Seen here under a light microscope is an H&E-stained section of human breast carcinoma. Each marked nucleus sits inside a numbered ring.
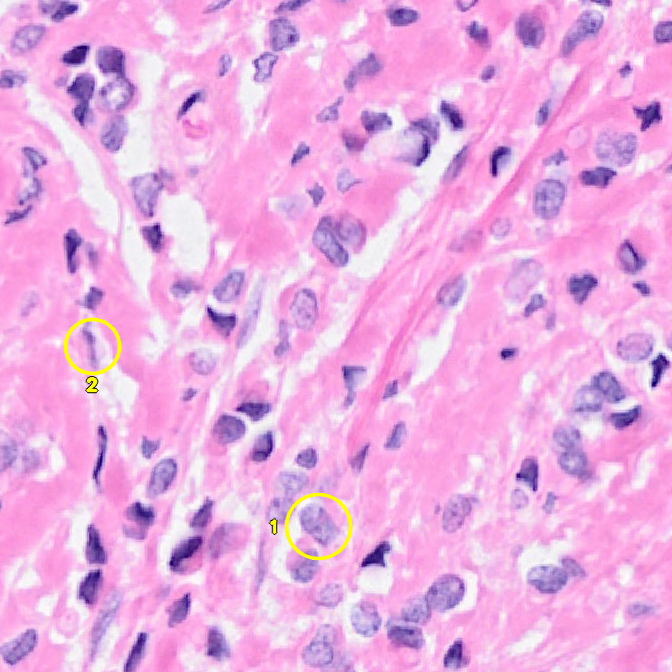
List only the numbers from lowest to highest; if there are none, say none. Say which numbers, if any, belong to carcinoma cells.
1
